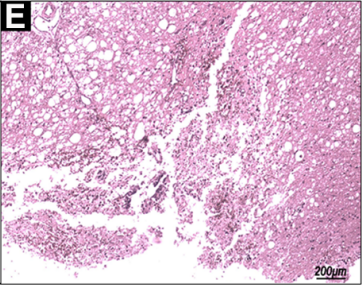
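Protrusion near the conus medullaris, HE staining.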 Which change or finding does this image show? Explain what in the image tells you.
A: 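Pale pink tissue full of rounded clear vacuoles. Many small dark purple nuclei scattered and clustered through the pink tissue. Tissue is loosened and torn by irregular clefts.
Conclusion: necrotic tissue infiltrated by inflammatory cells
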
